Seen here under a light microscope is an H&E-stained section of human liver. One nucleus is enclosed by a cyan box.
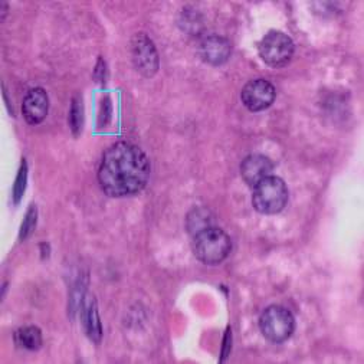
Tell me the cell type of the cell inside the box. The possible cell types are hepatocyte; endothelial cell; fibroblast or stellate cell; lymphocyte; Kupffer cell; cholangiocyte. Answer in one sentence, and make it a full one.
For cell typing purposes, the cell inside the box is a fibroblast or stellate cell.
